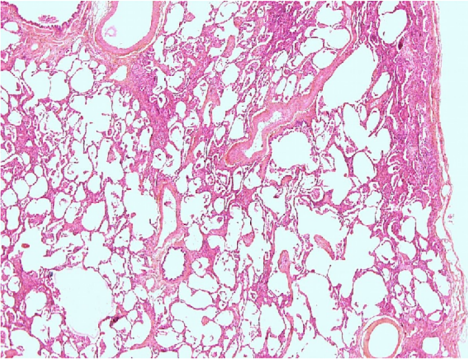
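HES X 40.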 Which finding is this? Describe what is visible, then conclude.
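Dense pink fibrous tissue lies along the pleural edge at the right. This band has lost normal alveolar spaces.
Conclusion: subpleural areas of fibrosis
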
